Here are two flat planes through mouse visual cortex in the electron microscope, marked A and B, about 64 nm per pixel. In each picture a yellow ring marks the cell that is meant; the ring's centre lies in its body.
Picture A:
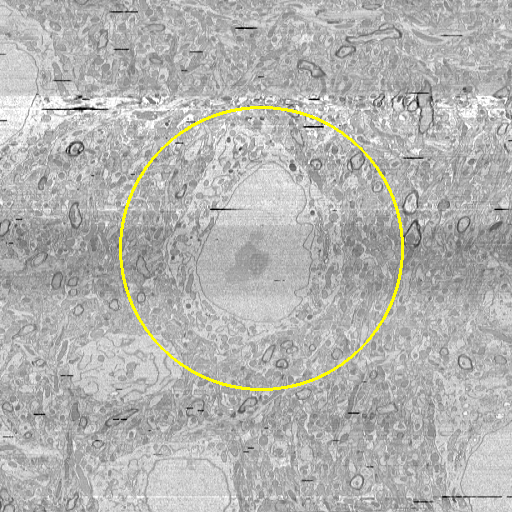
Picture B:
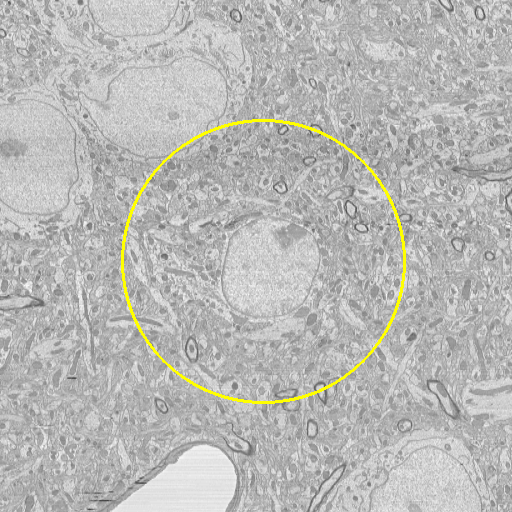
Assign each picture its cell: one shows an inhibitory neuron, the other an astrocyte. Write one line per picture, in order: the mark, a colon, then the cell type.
A: inhibitory neuron
B: astrocyte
